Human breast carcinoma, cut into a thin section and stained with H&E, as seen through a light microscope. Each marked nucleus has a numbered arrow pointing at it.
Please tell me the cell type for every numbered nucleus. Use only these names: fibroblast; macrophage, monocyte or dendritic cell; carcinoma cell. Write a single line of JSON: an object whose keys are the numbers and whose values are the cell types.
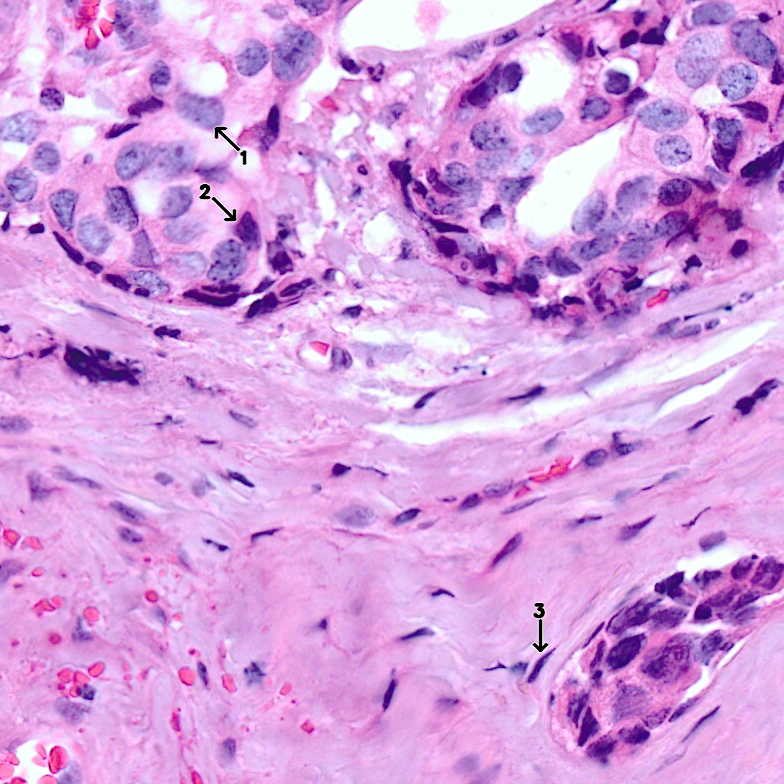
{"1": "carcinoma cell", "2": "carcinoma cell", "3": "fibroblast"}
